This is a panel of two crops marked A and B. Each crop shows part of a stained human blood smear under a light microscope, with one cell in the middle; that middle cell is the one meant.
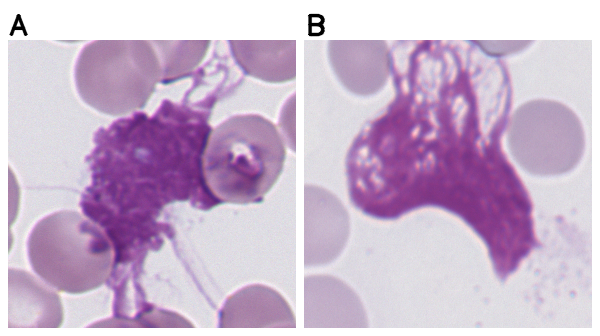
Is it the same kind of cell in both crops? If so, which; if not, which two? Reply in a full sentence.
Yes, smudge cells are depicted in both crops.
